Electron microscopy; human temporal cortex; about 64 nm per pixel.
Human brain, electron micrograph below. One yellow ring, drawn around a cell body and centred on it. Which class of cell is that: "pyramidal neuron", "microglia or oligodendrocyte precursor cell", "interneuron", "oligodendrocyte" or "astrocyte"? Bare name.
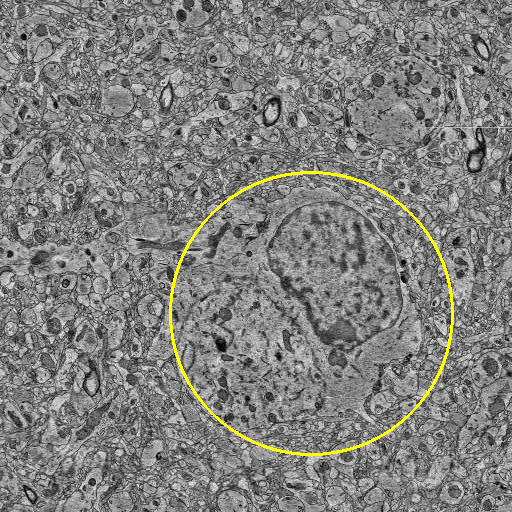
microglia or oligodendrocyte precursor cell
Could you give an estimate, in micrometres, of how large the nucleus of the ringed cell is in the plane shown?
Roughly 10 by 8 micrometres is the size of the nucleus in this plane.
